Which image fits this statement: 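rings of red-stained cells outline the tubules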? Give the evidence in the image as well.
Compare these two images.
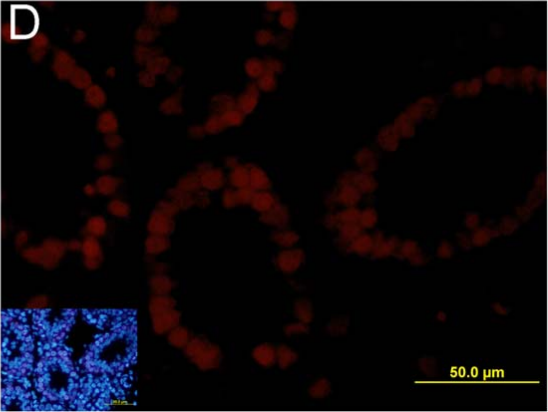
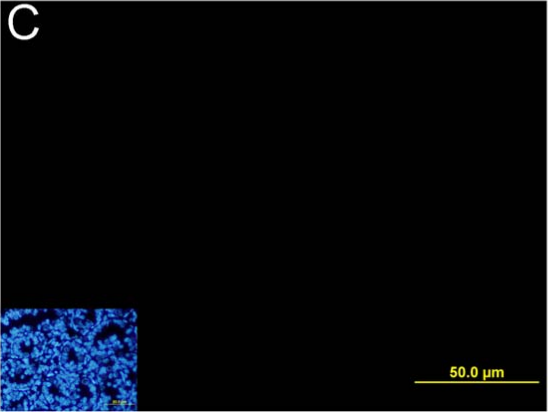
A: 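First image: many red round cells line the edges of circular tubule profiles. Second image: the field is dark with no red-stained cells. So: the first image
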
